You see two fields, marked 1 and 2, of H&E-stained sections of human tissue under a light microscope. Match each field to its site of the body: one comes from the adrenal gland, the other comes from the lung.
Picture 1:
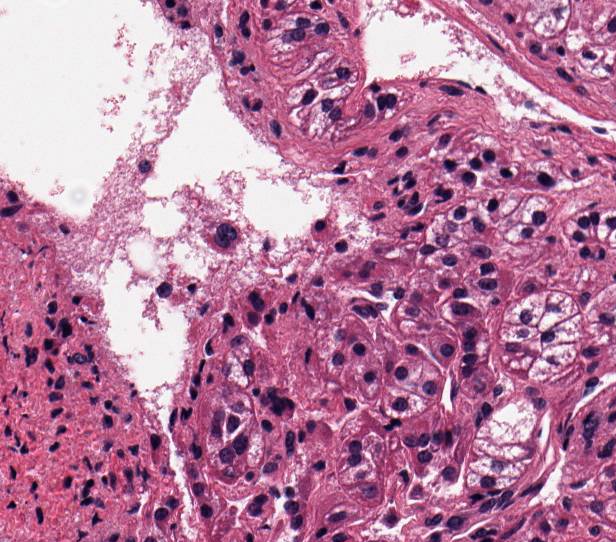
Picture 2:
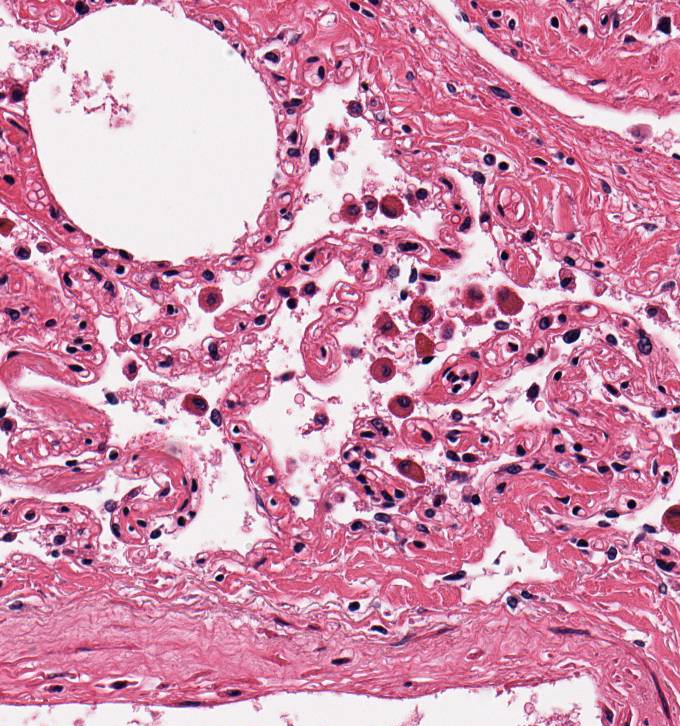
1: adrenal gland
2: lung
